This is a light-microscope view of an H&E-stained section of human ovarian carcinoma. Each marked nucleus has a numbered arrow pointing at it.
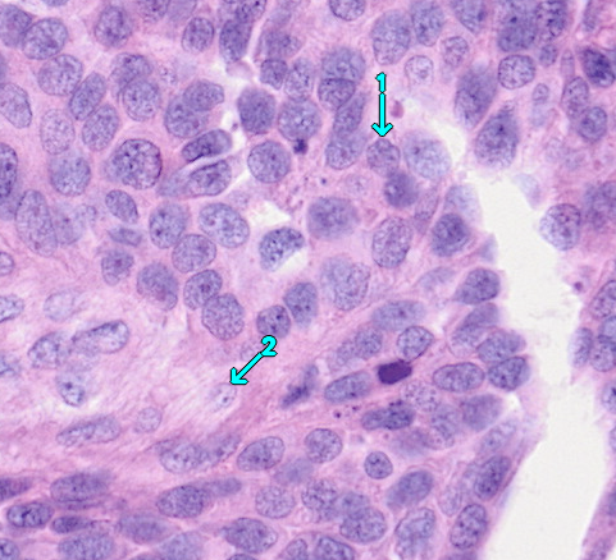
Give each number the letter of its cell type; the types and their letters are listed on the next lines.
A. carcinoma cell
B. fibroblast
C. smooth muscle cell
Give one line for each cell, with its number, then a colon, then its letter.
1: A
2: B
